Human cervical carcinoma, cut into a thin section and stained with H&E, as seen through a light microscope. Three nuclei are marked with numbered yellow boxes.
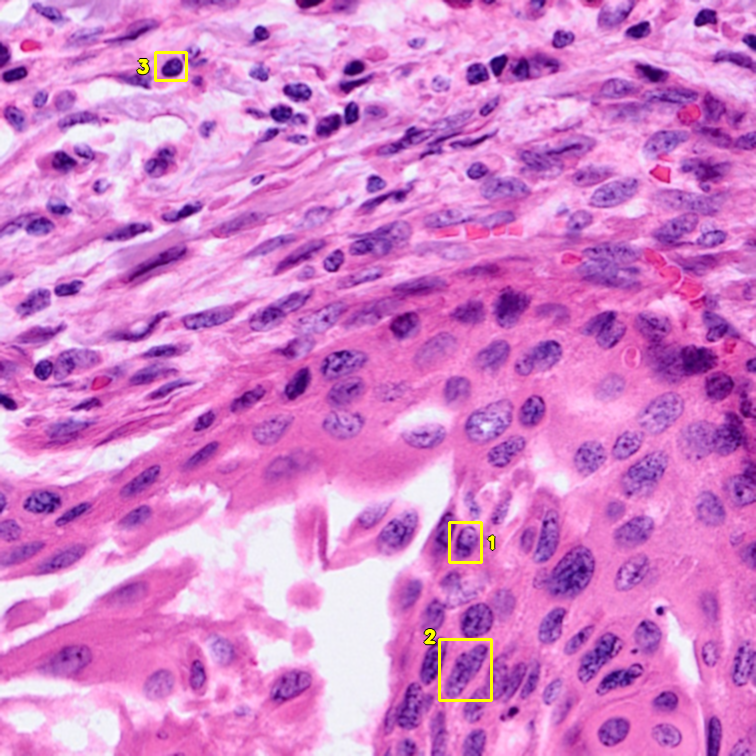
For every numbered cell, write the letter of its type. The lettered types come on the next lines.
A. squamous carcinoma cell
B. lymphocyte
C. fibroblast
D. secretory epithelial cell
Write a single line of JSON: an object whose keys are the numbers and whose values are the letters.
{"1": "A", "2": "A", "3": "B"}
